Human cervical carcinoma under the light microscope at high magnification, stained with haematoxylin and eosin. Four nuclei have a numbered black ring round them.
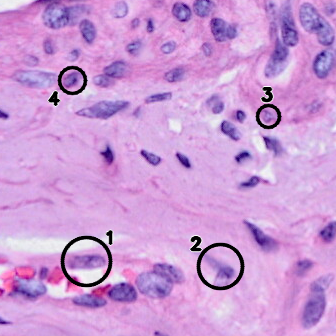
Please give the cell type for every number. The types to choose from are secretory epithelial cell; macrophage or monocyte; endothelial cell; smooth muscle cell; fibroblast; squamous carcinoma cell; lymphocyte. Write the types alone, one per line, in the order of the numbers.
endothelial cell
fibroblast
smooth muscle cell
smooth muscle cell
